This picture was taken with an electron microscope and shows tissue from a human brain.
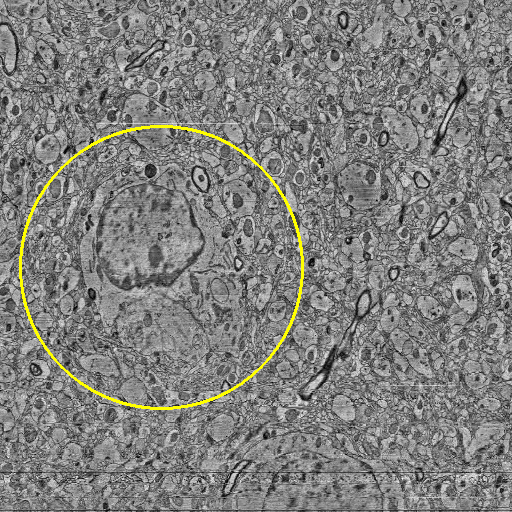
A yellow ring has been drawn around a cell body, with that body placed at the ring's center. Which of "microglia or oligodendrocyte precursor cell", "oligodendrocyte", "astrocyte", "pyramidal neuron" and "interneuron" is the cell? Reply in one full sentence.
In this picture, a microglial cell or oligodendrocyte precursor cell is the cell at the center of the yellow ring.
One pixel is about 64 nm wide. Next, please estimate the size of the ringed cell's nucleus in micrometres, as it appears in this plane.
About 7 micrometres across in this plane, for the nucleus.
